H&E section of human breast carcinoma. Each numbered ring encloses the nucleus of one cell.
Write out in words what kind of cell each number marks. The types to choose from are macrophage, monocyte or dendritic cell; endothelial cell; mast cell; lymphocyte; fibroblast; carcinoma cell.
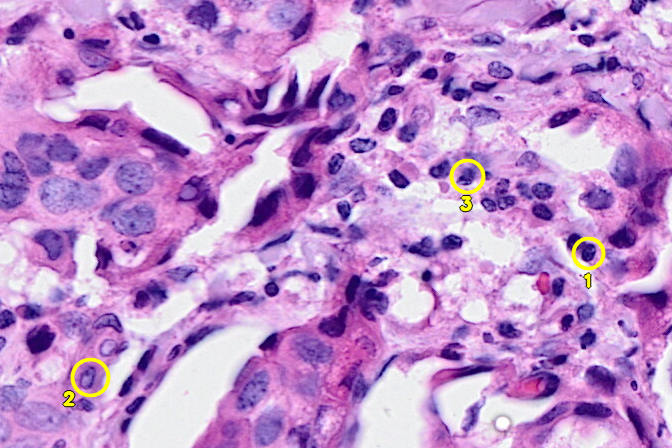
Cell 1 is a lymphocyte, cell 2 is an endothelial cell and cell 3 is a lymphocyte.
